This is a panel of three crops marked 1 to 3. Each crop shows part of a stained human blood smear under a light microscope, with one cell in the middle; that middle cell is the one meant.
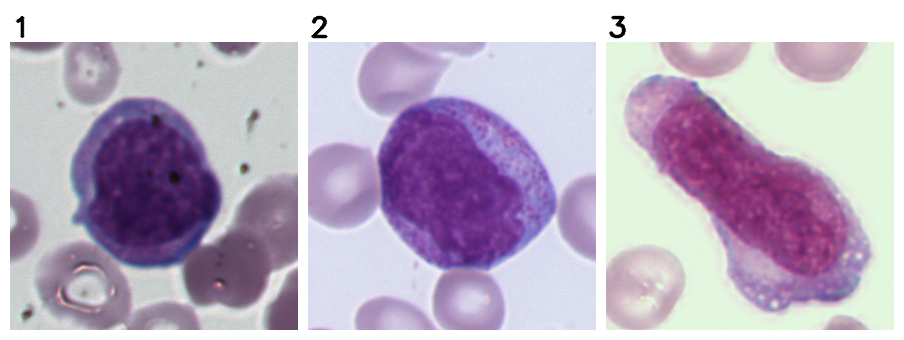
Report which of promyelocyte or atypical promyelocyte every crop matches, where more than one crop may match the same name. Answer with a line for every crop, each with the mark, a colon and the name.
1: atypical promyelocyte
2: promyelocyte
3: atypical promyelocyte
